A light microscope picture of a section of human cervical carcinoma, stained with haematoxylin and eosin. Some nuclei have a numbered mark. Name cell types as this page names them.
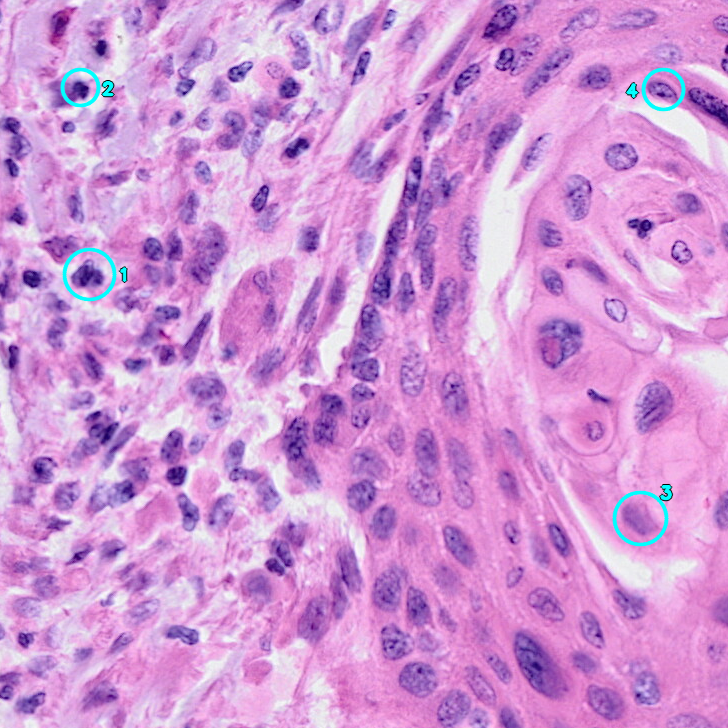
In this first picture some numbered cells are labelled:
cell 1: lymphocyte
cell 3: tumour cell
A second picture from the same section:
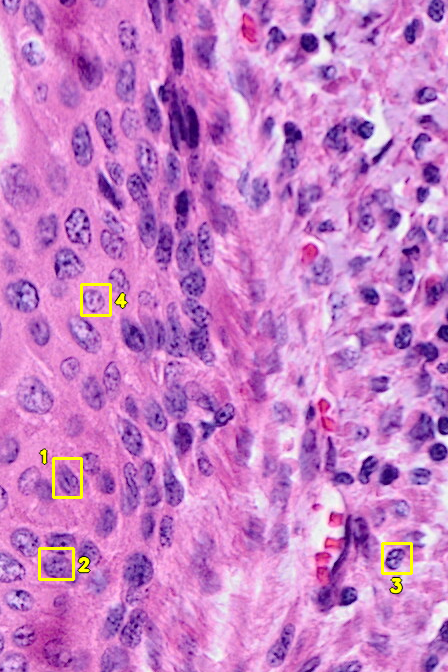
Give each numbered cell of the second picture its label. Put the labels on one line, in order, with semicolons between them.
tumour cell; tumour cell; lymphocyte; tumour cell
